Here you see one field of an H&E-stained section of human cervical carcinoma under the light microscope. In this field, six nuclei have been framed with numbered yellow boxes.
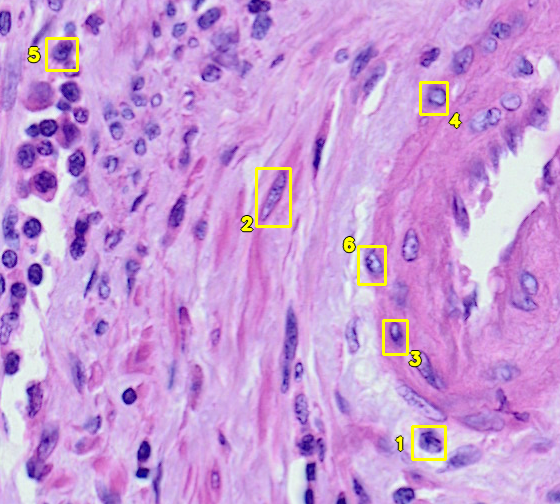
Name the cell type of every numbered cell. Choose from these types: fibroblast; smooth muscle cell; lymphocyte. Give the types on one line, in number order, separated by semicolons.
lymphocyte; smooth muscle cell; smooth muscle cell; smooth muscle cell; lymphocyte; smooth muscle cell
